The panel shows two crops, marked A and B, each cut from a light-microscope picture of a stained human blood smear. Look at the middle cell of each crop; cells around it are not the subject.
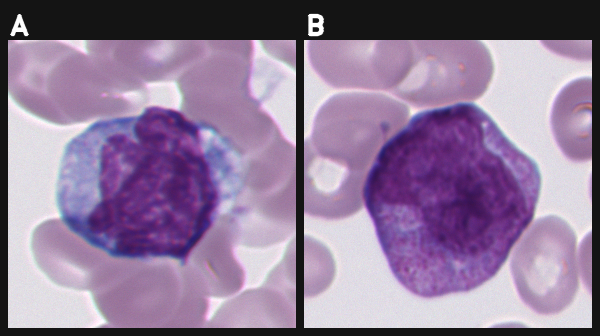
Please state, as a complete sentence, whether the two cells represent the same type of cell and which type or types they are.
No, crop A gives us a monocyte and crop B gives us an atypical promyelocyte.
